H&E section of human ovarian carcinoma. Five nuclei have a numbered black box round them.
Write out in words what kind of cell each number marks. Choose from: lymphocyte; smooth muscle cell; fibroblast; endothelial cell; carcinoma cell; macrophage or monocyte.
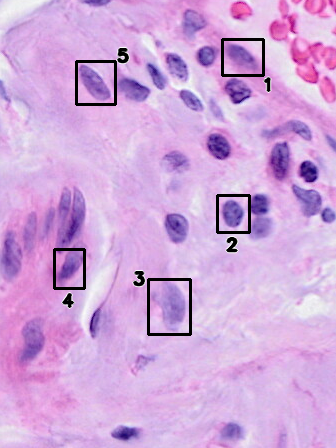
Cell 1 is an endothelial cell, cell 2 is a lymphocyte, cell 3 is a fibroblast, cell 4 is a smooth muscle cell and cell 5 is a fibroblast.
